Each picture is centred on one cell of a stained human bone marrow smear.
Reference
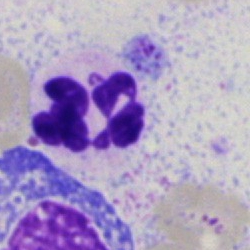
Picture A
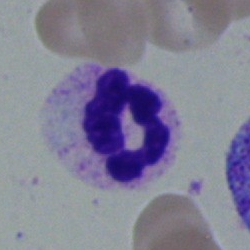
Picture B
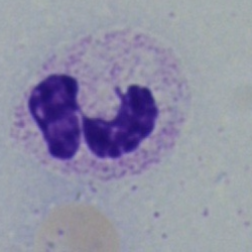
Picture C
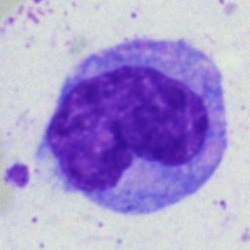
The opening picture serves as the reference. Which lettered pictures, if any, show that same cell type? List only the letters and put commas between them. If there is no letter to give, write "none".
A, B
